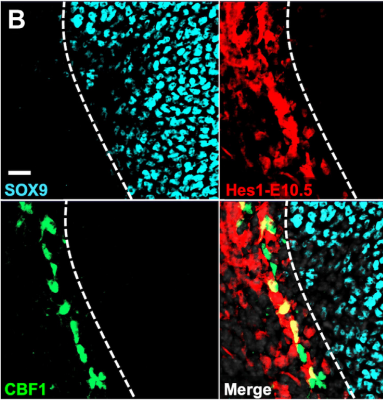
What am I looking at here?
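On one side, closely packed round cyan nuclei fill the condensation. On the other side runs a narrow band of red, irregular, elongated cells that follow the margin. Some green cells with small bright nuclei are strung along the same band, and several overlap with red cells so that they appear yellow in the merged image. The red and green cells lie almost entirely outside the cyan field.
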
